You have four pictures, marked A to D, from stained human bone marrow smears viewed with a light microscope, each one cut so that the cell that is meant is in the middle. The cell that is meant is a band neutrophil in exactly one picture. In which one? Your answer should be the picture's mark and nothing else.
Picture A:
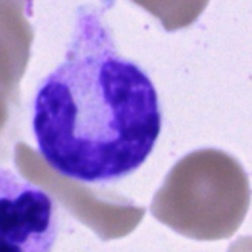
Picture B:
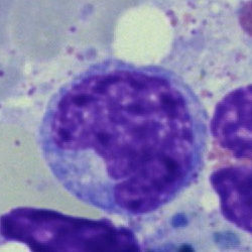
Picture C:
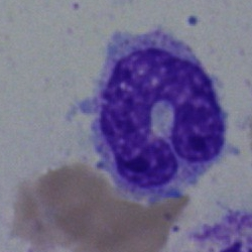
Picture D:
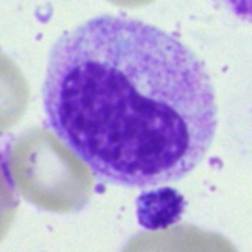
A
